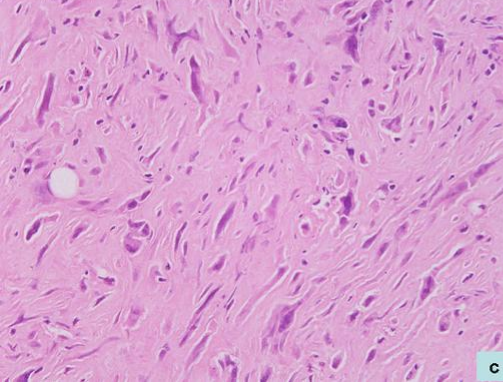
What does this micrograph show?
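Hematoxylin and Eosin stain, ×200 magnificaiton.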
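Spindle cell tumour with elongated and plump cells scattered in a dense pink collagenous stroma. Some cells carry large, irregular, darkly stained nuclei, much bigger than those of their neighbours. A small round clear vacuole lies at the left edge.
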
